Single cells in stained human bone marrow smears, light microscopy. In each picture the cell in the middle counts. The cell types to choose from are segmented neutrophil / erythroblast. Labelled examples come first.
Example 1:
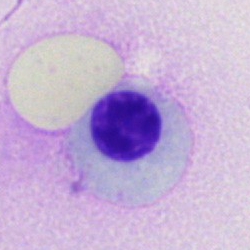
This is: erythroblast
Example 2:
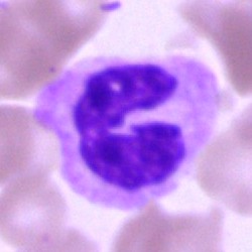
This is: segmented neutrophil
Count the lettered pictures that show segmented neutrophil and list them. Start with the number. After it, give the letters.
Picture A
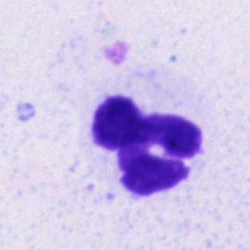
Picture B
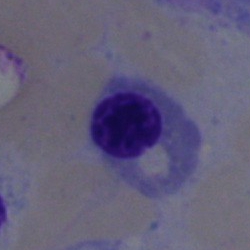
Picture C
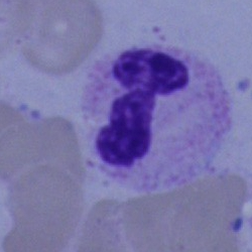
2: A, C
